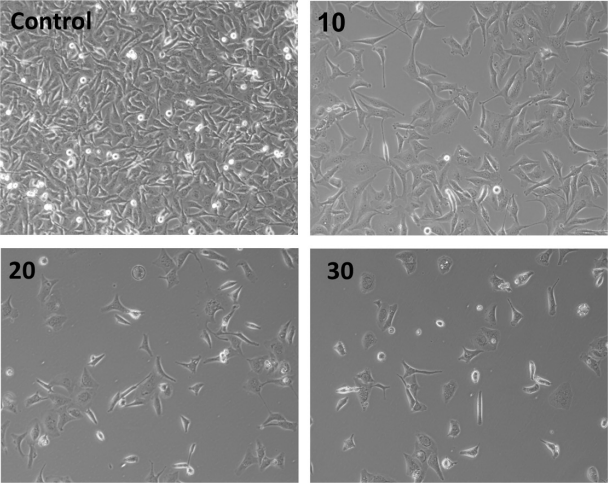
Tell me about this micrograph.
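Scattered among them are small, bright, refractile rounded cells. In the other frames the same kind of cells lie far more sparsely, with open background between them. Many of these remaining cells are flattened and spread, with irregular or star-like outlines and thin extensions. Others are small and rounded, with bright halos.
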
